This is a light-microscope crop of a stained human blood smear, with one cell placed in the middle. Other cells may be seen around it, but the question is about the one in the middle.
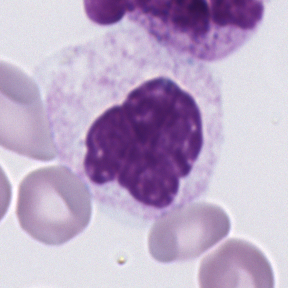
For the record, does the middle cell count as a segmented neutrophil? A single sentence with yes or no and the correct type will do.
Yes, the cell at the heart of the crop is a segmented neutrophil.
